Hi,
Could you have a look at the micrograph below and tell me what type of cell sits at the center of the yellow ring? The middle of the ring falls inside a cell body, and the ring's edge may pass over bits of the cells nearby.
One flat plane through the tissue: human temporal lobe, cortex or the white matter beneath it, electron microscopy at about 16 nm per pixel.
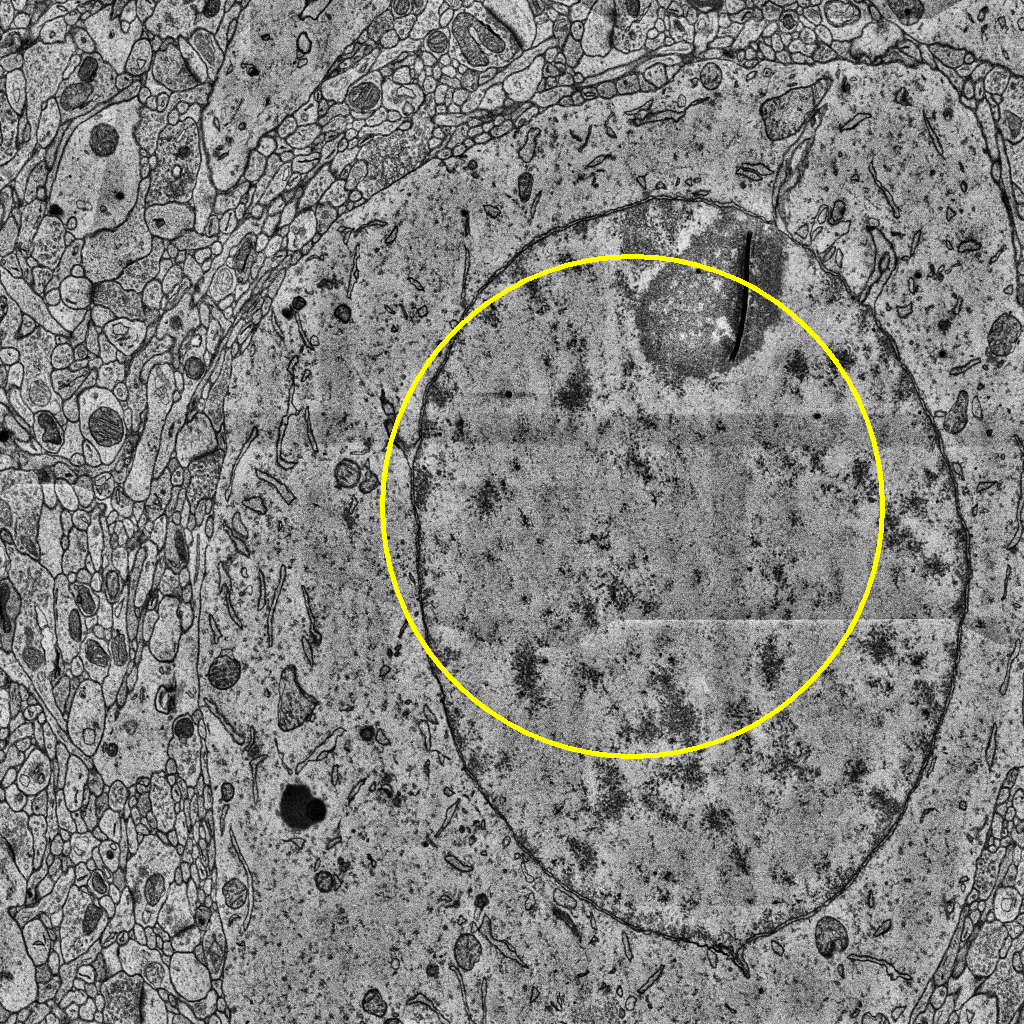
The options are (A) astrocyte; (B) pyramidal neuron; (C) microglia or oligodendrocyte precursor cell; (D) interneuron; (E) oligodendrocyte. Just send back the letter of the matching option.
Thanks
B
